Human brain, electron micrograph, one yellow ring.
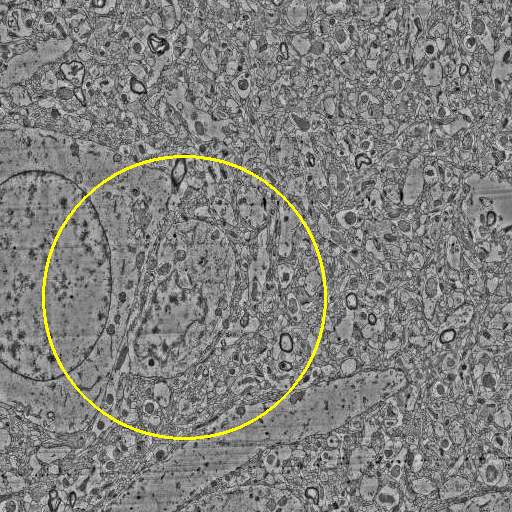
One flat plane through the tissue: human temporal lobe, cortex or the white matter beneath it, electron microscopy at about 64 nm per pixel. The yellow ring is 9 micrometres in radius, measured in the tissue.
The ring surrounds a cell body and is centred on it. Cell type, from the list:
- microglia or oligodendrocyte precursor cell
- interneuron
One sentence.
The yellow ring circles an interneuron.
